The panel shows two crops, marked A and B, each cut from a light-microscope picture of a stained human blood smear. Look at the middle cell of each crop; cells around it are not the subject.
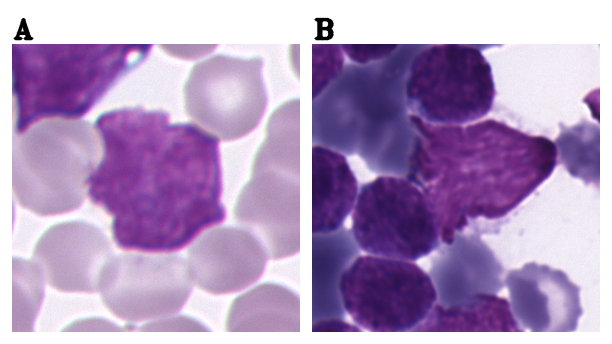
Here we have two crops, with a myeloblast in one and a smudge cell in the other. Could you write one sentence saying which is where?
Crop A should be reported as a smudge cell, and crop B as a myeloblast.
